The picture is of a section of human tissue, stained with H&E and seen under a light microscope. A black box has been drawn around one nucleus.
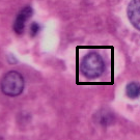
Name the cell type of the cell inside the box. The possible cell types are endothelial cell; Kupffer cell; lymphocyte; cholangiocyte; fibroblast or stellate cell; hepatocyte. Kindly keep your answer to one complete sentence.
It is as a hepatocyte that the cell inside the box is recorded.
